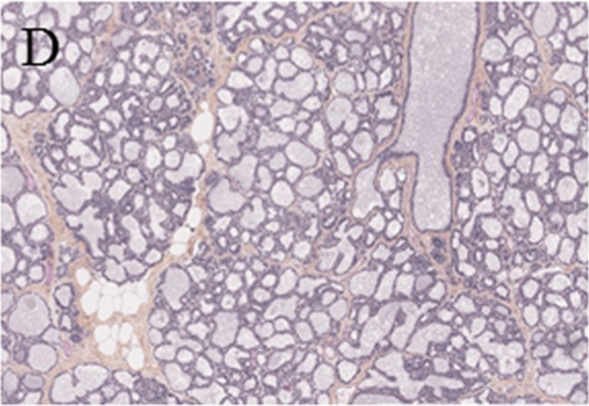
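Here again is mammary gland tissue, its lobules packed with rounded alveoli of varying size. The alveoli are lined by a thin layer of purple epithelial cells and many are distended with pale secretion. A long duct filled with pale material runs vertically through one part of the field. Pinkish connective tissue strands divide the lobules, and in one septum a small group of empty white fat cells can be seen.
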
